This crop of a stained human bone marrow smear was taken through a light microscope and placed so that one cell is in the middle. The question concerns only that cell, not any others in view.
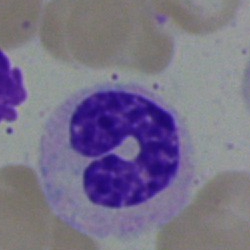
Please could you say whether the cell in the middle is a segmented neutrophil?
no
